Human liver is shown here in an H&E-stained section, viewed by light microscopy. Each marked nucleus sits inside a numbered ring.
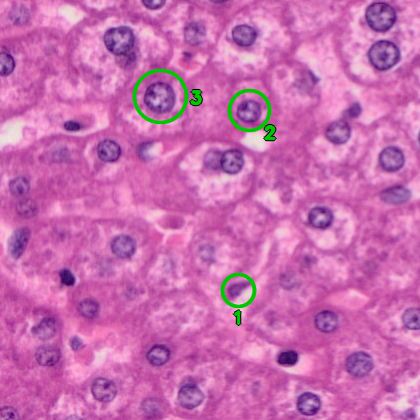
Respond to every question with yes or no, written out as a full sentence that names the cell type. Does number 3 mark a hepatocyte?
Yes, the marked cell numbered 3 is a hepatocyte.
